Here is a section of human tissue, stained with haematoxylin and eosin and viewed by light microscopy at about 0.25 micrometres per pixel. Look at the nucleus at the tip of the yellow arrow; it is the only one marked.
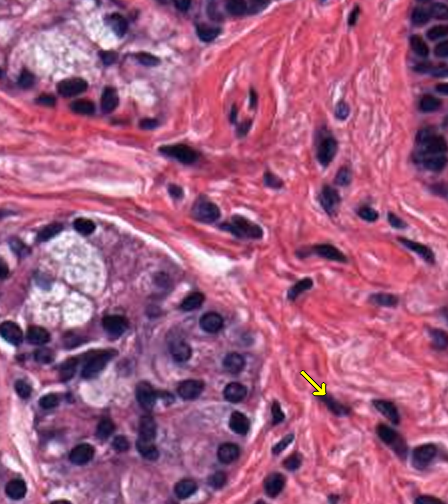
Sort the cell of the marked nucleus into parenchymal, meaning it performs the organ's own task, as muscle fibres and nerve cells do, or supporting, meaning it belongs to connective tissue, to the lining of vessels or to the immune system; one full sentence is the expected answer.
That the marked nucleus belongs to a supporting cell is what the section shows.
